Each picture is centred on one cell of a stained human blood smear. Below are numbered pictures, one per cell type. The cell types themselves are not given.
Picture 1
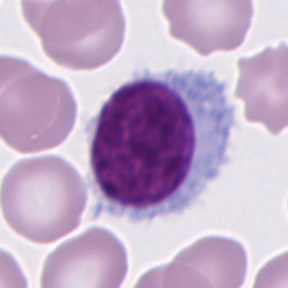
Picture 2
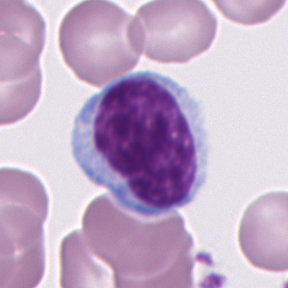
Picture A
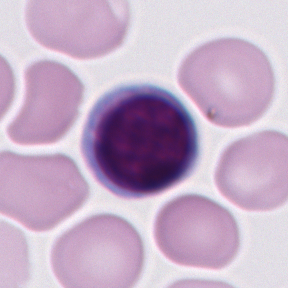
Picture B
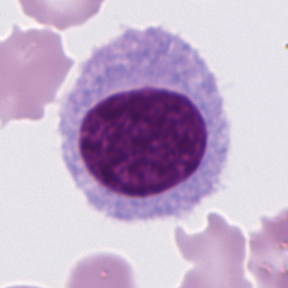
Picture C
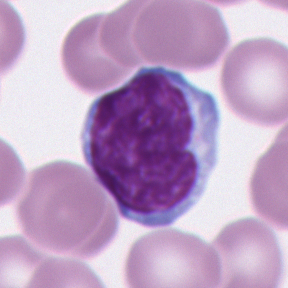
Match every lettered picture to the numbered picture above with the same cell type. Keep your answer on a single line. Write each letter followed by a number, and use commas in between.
A 2, B 1, C 2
